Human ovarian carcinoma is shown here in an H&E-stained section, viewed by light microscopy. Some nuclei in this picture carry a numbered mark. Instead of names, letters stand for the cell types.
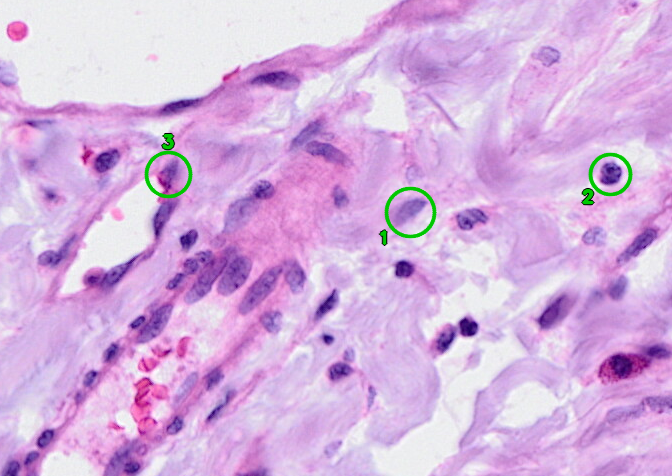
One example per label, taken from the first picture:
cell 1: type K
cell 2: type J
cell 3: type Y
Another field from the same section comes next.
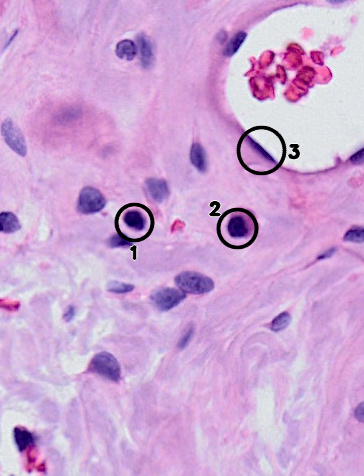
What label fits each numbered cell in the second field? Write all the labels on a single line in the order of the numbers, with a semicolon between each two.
type J; type J; type Y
